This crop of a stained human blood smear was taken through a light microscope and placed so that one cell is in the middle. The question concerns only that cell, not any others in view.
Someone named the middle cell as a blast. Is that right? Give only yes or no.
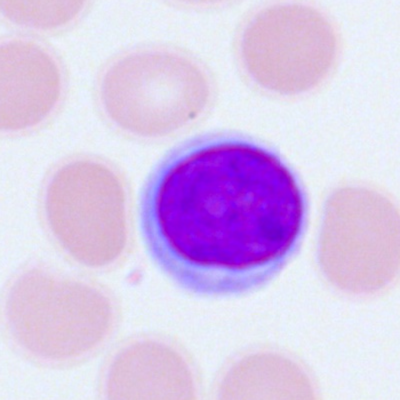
no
